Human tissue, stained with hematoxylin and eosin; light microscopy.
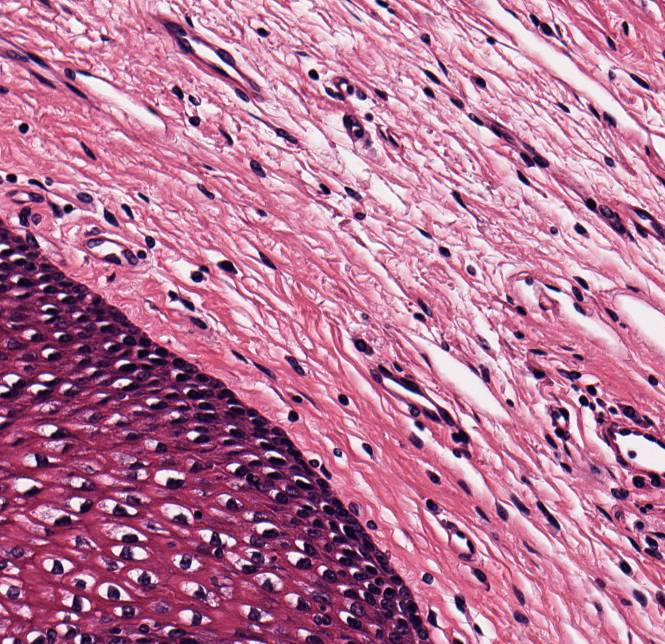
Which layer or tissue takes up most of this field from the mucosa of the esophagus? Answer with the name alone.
loose connective tissue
